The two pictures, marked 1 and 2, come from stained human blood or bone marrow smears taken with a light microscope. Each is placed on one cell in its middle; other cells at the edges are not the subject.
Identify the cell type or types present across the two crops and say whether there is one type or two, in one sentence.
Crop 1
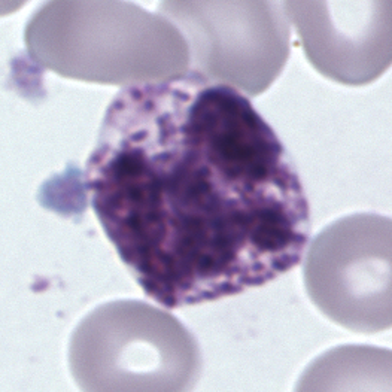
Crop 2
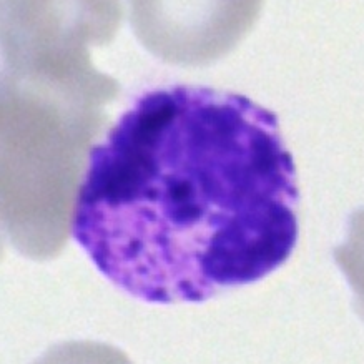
Yes, the cells at the centres of the two crops are basophils.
